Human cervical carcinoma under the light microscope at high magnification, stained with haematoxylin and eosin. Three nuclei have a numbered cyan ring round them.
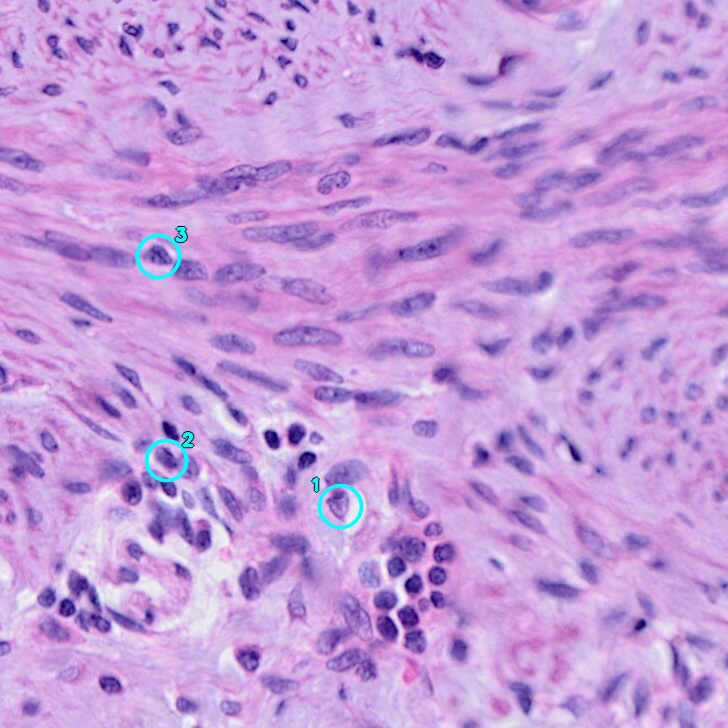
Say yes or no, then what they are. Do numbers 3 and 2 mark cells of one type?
Yes, both of cells 3 and 2 are lymphocytes.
